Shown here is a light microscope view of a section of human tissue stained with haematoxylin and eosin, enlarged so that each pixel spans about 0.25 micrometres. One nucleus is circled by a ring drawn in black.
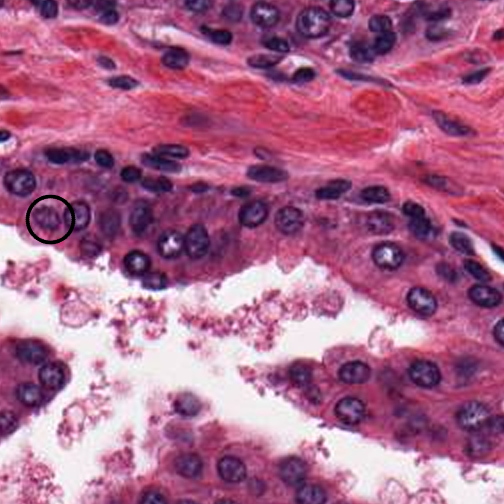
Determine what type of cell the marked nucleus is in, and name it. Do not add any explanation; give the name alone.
prostate gland luminal cell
